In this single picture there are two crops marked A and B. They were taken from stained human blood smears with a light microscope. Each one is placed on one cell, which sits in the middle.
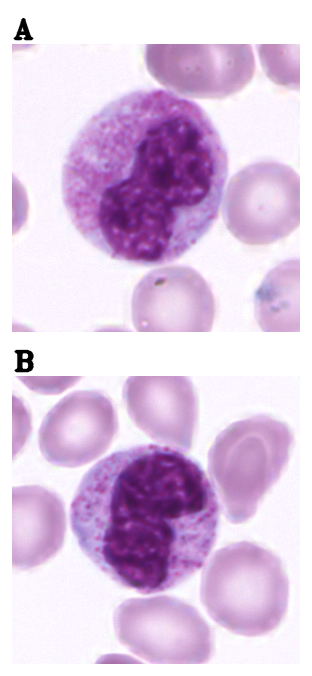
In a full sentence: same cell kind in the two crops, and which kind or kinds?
Yes, for both crops, the central cells are band neutrophils.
